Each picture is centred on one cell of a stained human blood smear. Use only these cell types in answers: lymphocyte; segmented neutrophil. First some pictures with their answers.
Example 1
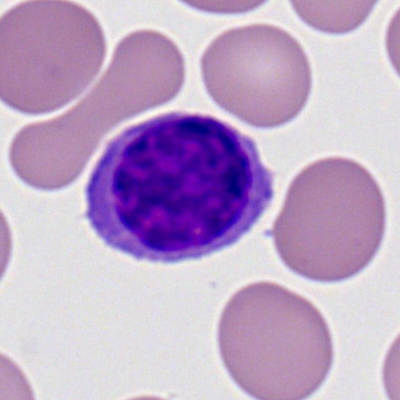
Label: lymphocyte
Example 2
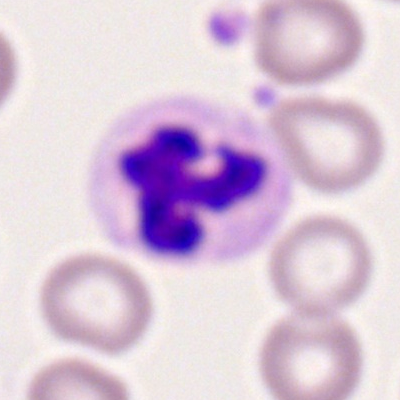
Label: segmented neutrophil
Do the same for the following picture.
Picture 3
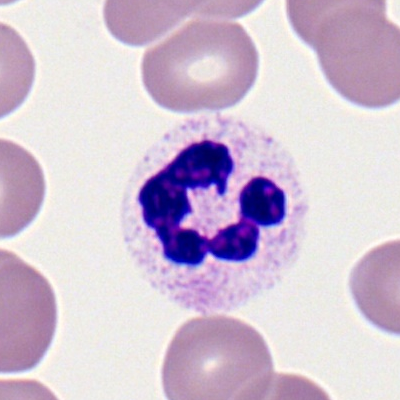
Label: segmented neutrophil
